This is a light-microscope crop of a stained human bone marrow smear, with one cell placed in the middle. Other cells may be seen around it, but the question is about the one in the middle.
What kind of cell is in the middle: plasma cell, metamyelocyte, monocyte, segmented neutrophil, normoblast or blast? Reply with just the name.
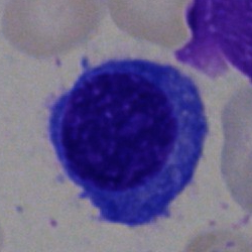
plasma cell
